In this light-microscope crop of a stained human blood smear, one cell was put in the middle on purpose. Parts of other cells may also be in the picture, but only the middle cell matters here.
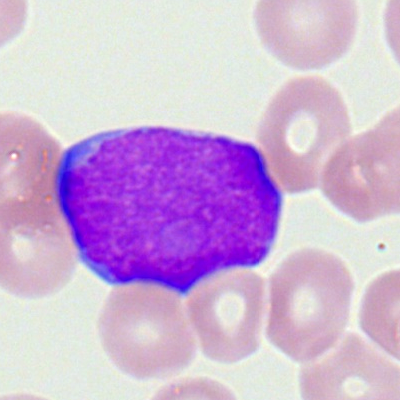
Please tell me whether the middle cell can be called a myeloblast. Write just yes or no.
yes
